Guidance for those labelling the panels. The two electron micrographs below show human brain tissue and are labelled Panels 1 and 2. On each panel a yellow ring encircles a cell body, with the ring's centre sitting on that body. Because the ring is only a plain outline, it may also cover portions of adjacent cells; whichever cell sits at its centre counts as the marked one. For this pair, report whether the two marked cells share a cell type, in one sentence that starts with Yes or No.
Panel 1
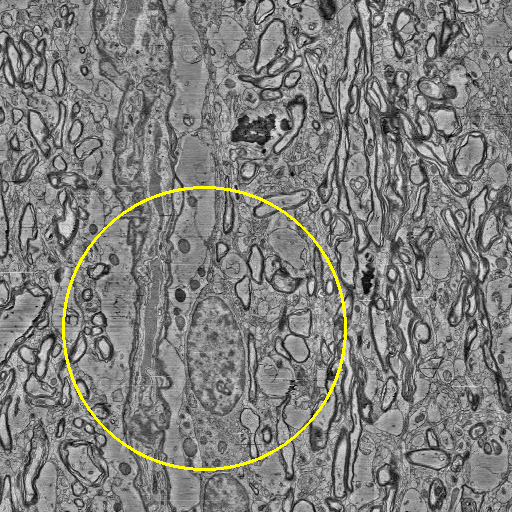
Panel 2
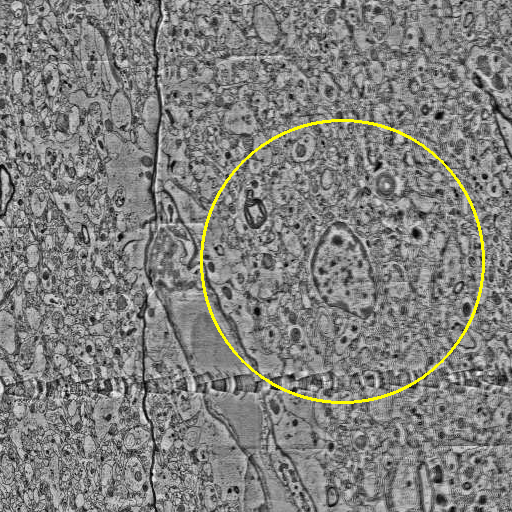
No, in Panel 1 and Panel 2 the marked cells at the ring centres are of two types.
